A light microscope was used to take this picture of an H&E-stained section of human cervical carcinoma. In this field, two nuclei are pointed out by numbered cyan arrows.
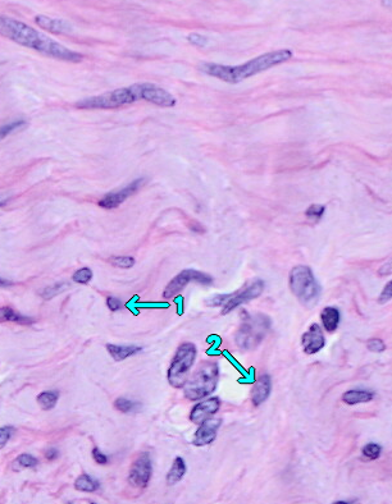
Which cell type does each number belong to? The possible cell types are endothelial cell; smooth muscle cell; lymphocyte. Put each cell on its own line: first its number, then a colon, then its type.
1: smooth muscle cell
2: endothelial cell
